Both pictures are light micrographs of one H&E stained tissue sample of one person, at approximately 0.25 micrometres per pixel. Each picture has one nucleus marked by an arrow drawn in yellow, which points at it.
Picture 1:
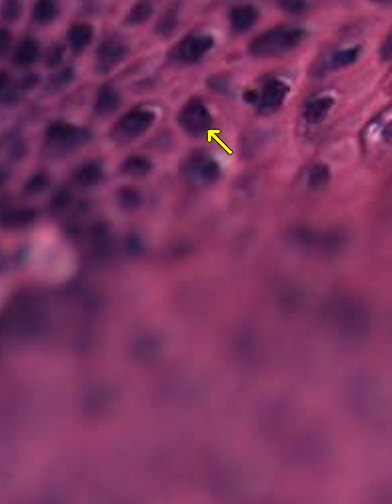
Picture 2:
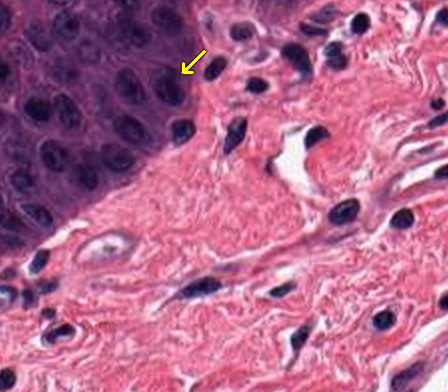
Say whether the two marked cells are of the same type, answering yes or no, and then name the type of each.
Yes, both are squamous epithelial cells.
